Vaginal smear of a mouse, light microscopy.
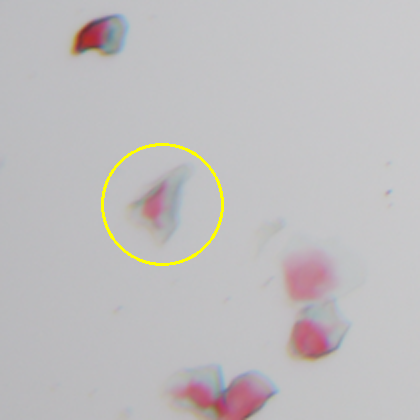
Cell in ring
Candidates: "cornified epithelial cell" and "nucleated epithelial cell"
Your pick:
nucleated epithelial cell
